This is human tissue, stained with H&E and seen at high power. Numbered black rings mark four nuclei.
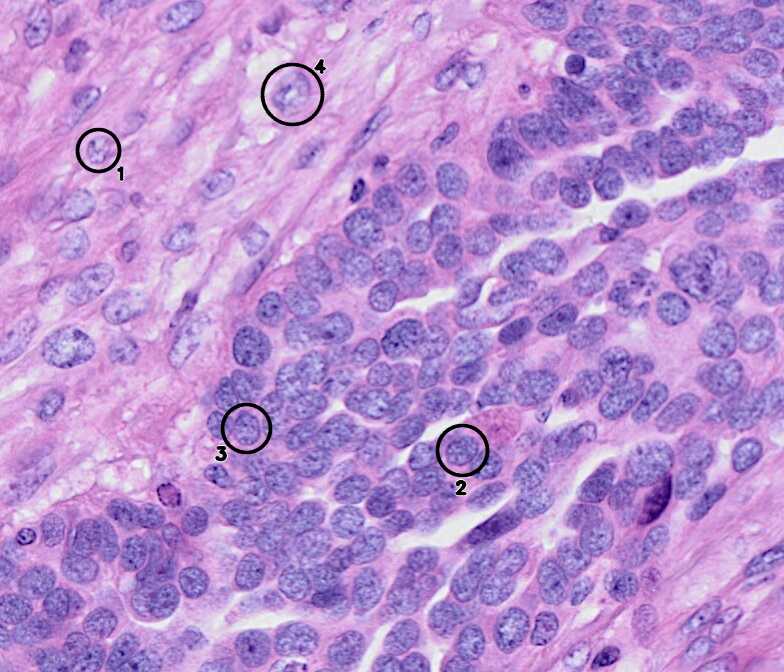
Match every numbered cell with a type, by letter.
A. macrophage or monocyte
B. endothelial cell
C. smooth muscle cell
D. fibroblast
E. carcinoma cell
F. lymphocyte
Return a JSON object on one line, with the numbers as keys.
{"1": "D", "2": "E", "3": "E", "4": "D"}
